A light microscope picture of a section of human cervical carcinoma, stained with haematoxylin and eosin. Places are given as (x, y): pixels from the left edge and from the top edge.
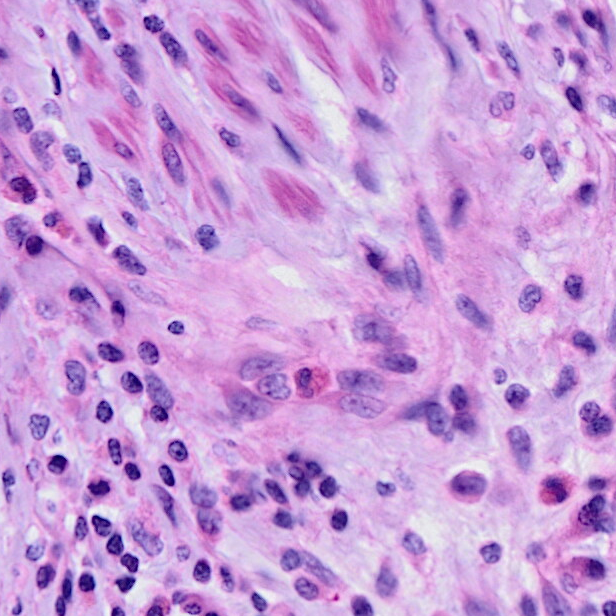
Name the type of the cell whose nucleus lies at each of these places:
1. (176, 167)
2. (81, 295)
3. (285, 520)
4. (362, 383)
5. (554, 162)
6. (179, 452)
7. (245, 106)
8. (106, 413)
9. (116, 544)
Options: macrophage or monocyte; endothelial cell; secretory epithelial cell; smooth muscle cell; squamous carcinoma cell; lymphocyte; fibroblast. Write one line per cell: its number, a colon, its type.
1: smooth muscle cell
2: lymphocyte
3: lymphocyte
4: endothelial cell
5: macrophage or monocyte
6: lymphocyte
7: smooth muscle cell
8: lymphocyte
9: lymphocyte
